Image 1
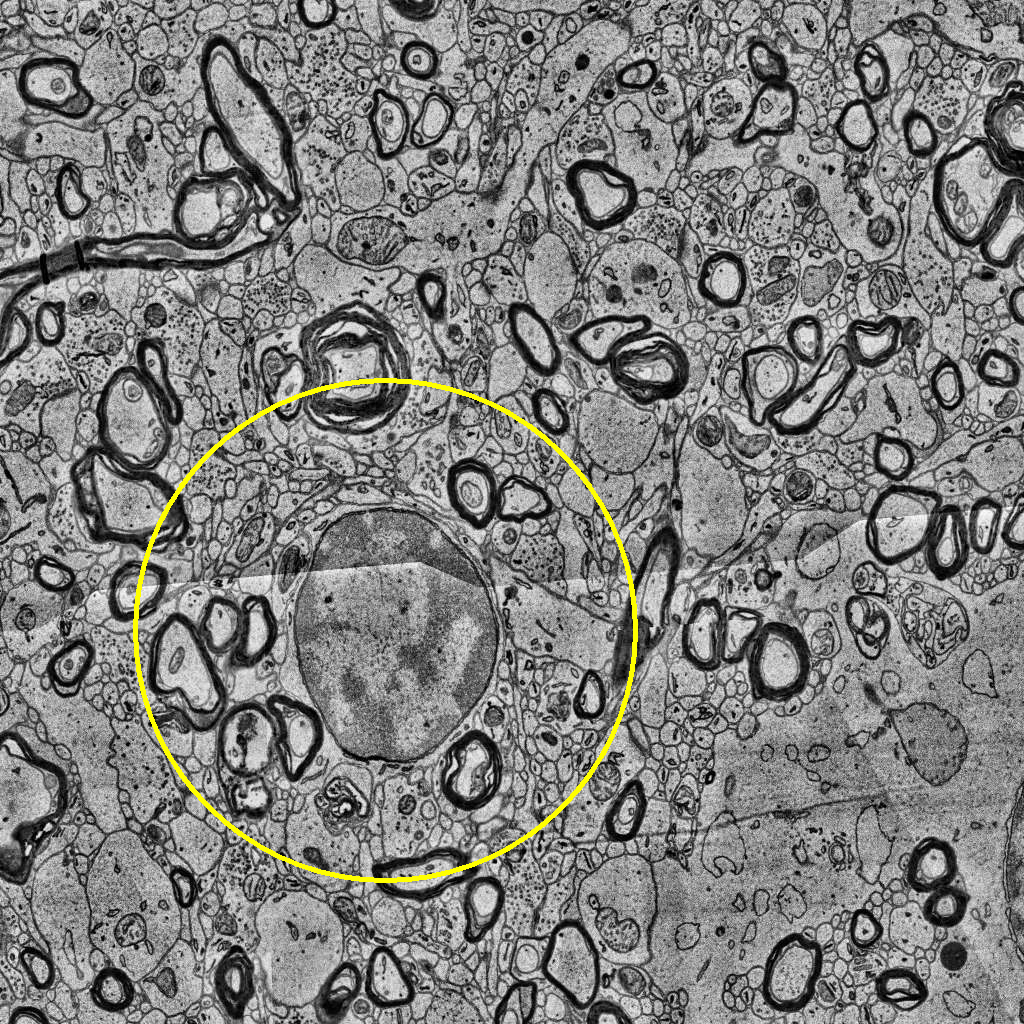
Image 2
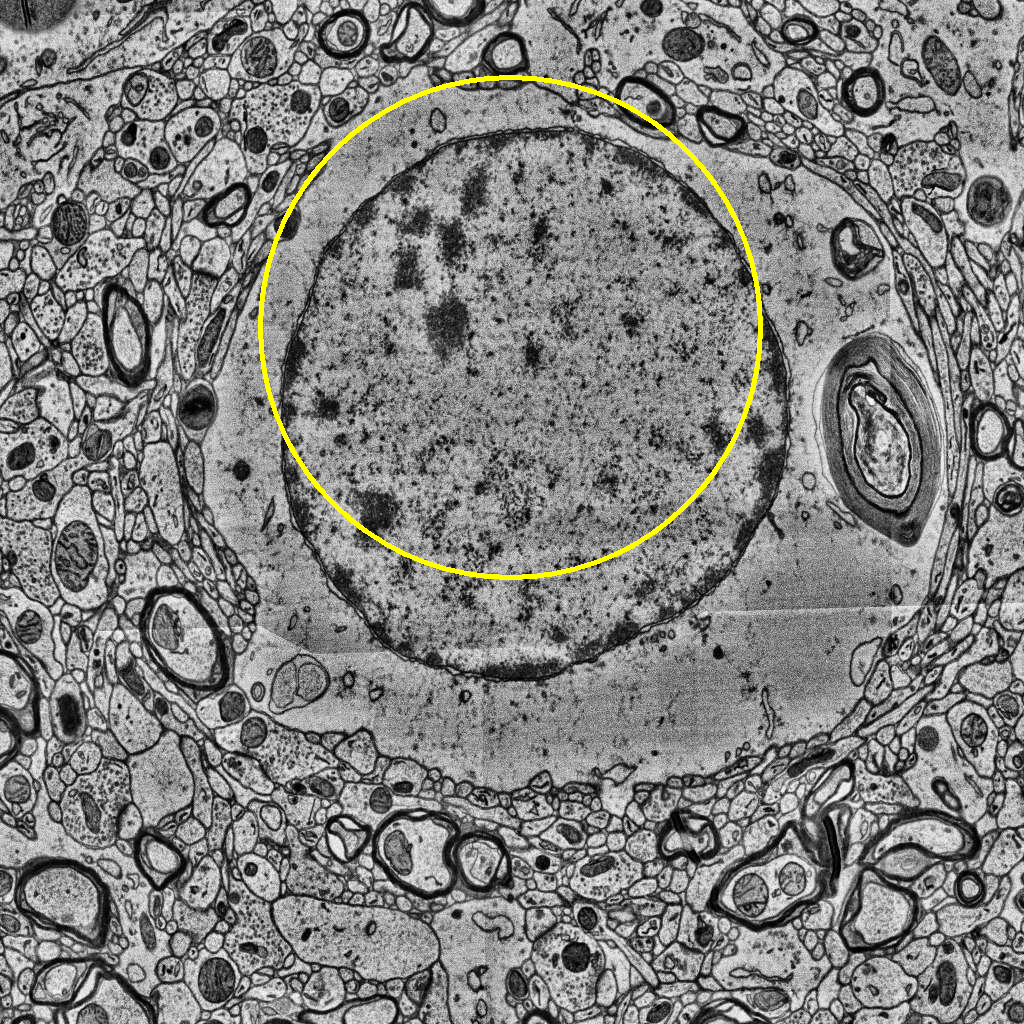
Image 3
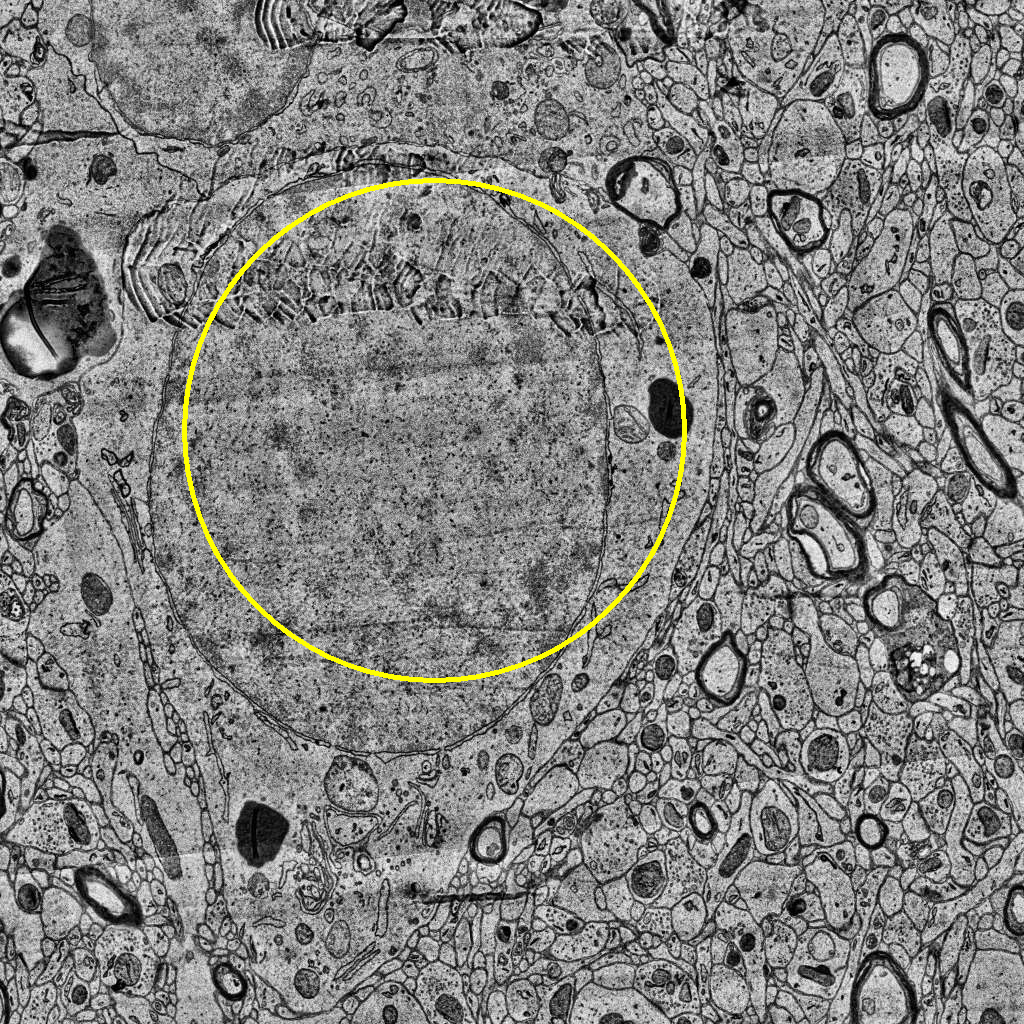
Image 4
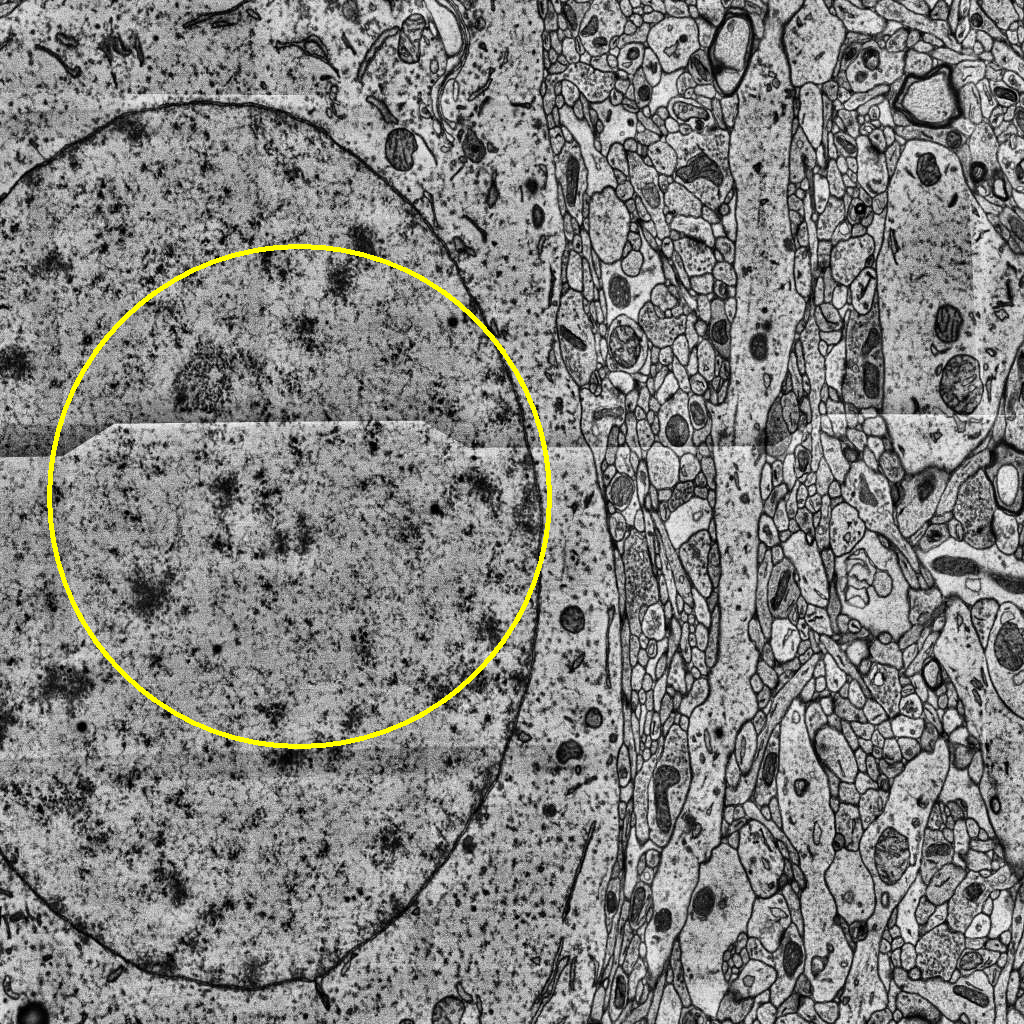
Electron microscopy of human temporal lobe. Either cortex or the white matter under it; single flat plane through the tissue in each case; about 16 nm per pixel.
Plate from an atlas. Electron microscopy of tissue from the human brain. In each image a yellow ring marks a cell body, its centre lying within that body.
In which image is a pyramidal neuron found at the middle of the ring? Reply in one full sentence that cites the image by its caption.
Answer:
The requested cell is the one at the ring's centre in Image 4.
